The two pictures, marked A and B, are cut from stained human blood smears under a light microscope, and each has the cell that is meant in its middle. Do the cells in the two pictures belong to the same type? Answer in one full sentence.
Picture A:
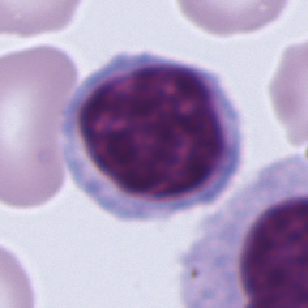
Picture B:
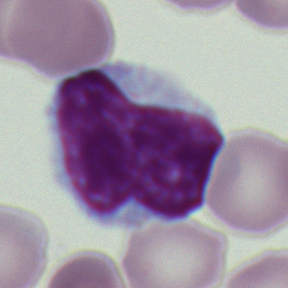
Yes, they are the same type: both are typical lymphocytes.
